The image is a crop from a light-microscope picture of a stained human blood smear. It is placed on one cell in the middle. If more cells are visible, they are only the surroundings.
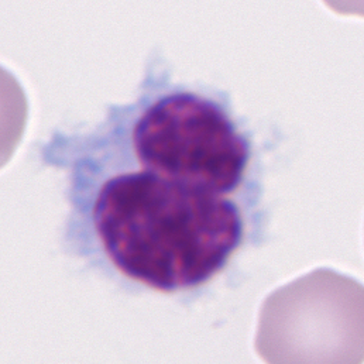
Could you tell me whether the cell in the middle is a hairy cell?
yes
